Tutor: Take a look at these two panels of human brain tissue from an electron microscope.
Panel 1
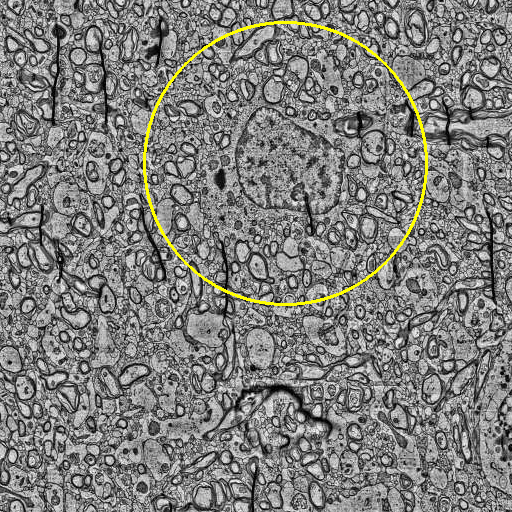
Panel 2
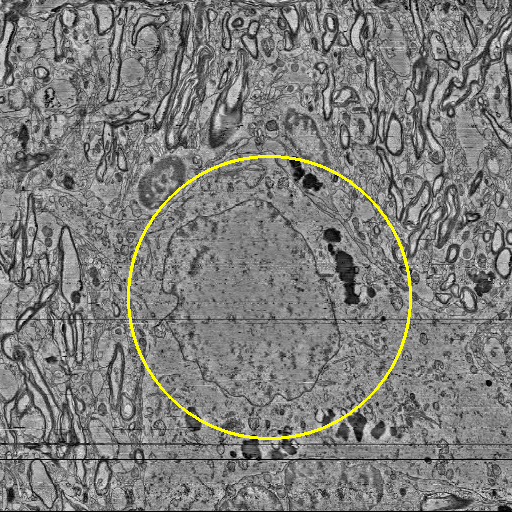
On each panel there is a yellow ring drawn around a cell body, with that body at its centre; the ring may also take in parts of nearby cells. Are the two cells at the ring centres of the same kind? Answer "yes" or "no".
no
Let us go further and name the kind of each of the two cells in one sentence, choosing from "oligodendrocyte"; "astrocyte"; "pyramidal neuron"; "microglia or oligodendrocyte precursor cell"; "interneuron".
The ring of the first picture is on an oligodendrocyte, the ring of the second on a pyramidal neuron.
